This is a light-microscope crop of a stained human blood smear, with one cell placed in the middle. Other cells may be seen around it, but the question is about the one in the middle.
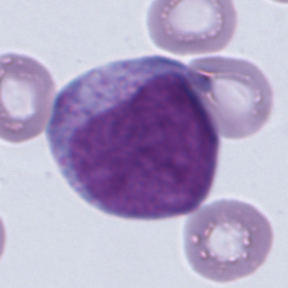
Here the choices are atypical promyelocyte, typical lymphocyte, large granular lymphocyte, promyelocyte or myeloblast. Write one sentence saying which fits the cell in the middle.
This crop's central cell is a promyelocyte.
